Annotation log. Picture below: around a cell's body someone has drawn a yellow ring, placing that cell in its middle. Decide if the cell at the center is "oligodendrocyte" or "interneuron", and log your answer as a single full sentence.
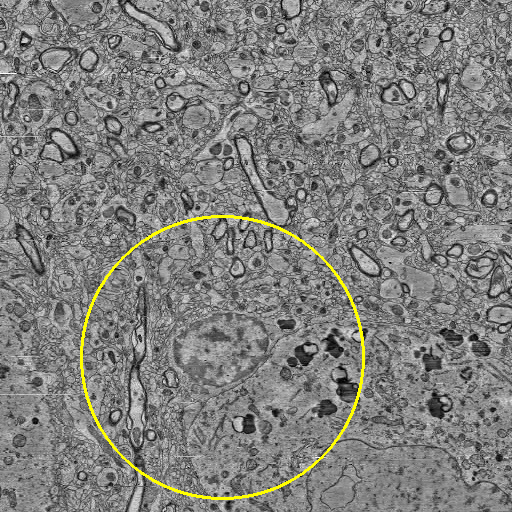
My entry records an oligodendrocyte as the cell sitting at the center of the yellow ring.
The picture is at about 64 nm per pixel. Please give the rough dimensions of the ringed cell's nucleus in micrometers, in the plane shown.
The nucleus comes to roughly 6 by 5 micrometres in this plane.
